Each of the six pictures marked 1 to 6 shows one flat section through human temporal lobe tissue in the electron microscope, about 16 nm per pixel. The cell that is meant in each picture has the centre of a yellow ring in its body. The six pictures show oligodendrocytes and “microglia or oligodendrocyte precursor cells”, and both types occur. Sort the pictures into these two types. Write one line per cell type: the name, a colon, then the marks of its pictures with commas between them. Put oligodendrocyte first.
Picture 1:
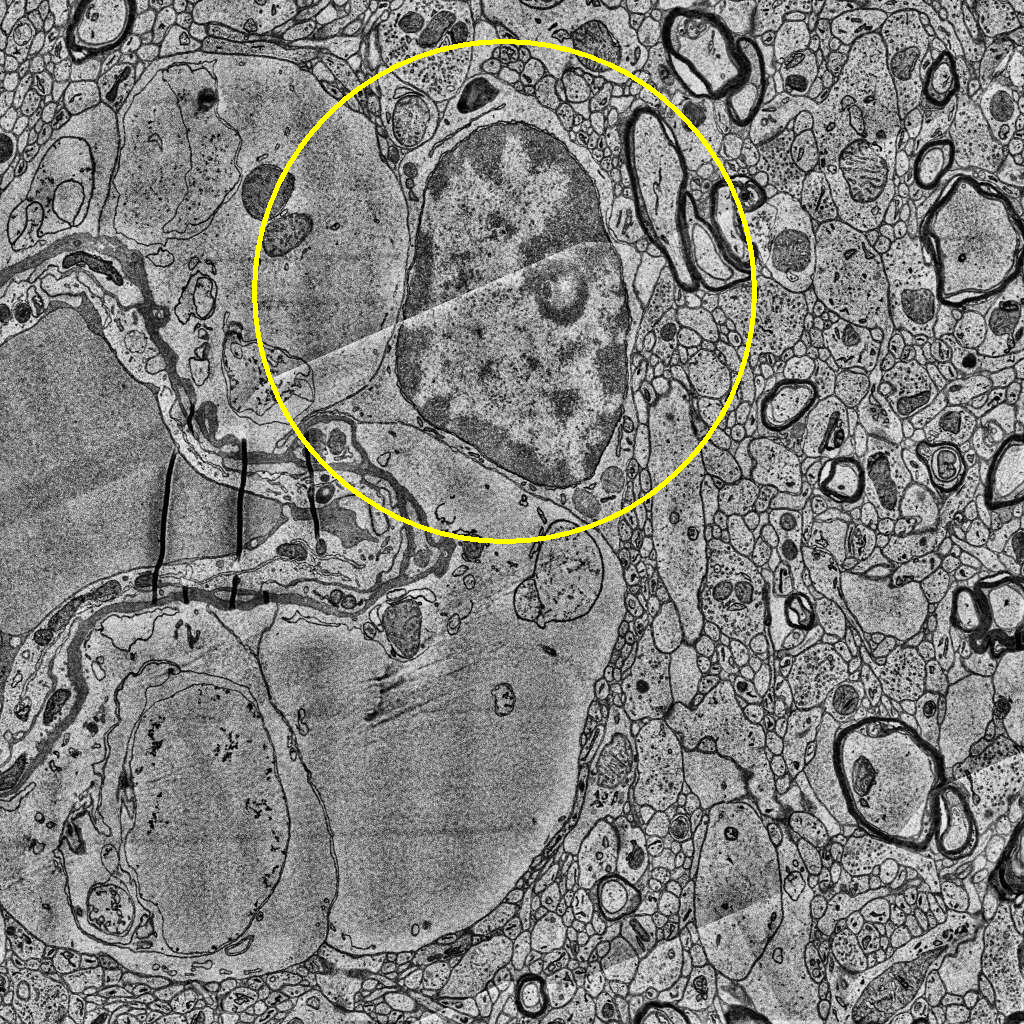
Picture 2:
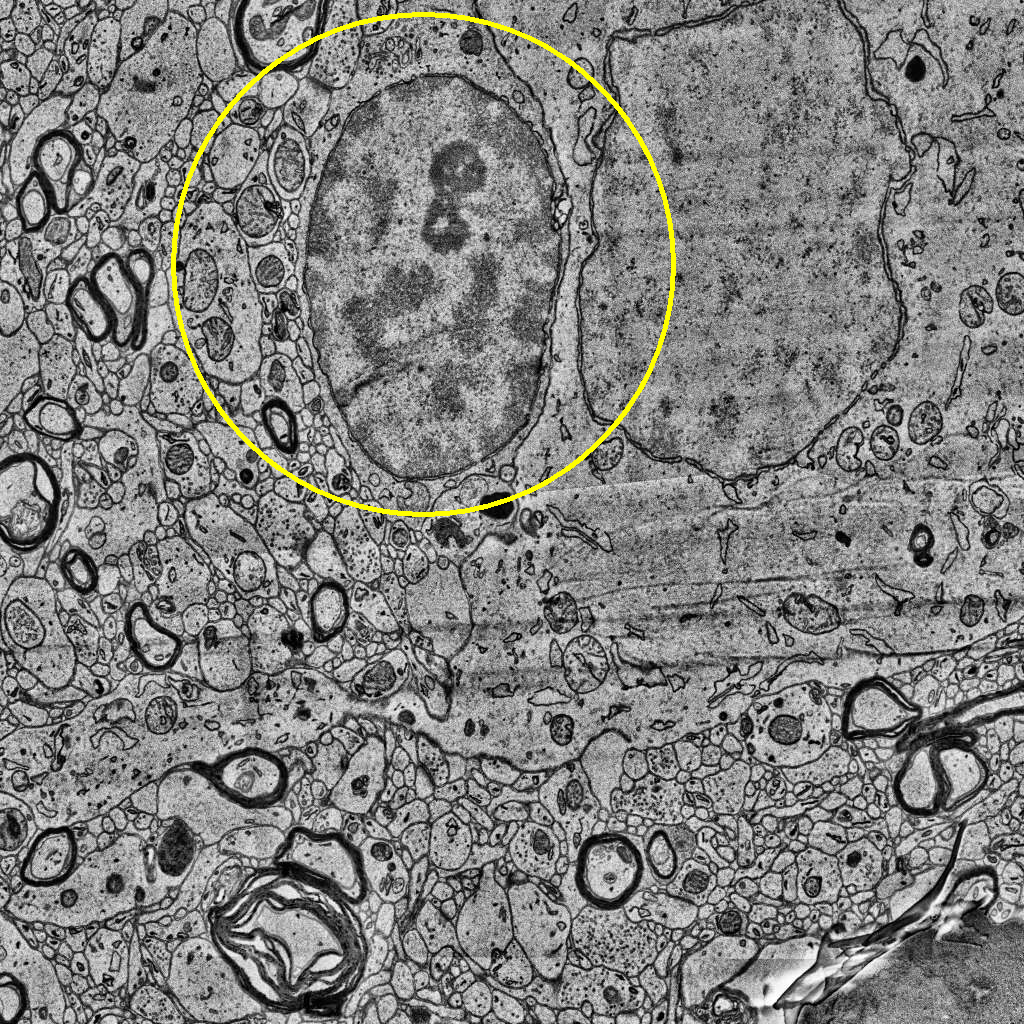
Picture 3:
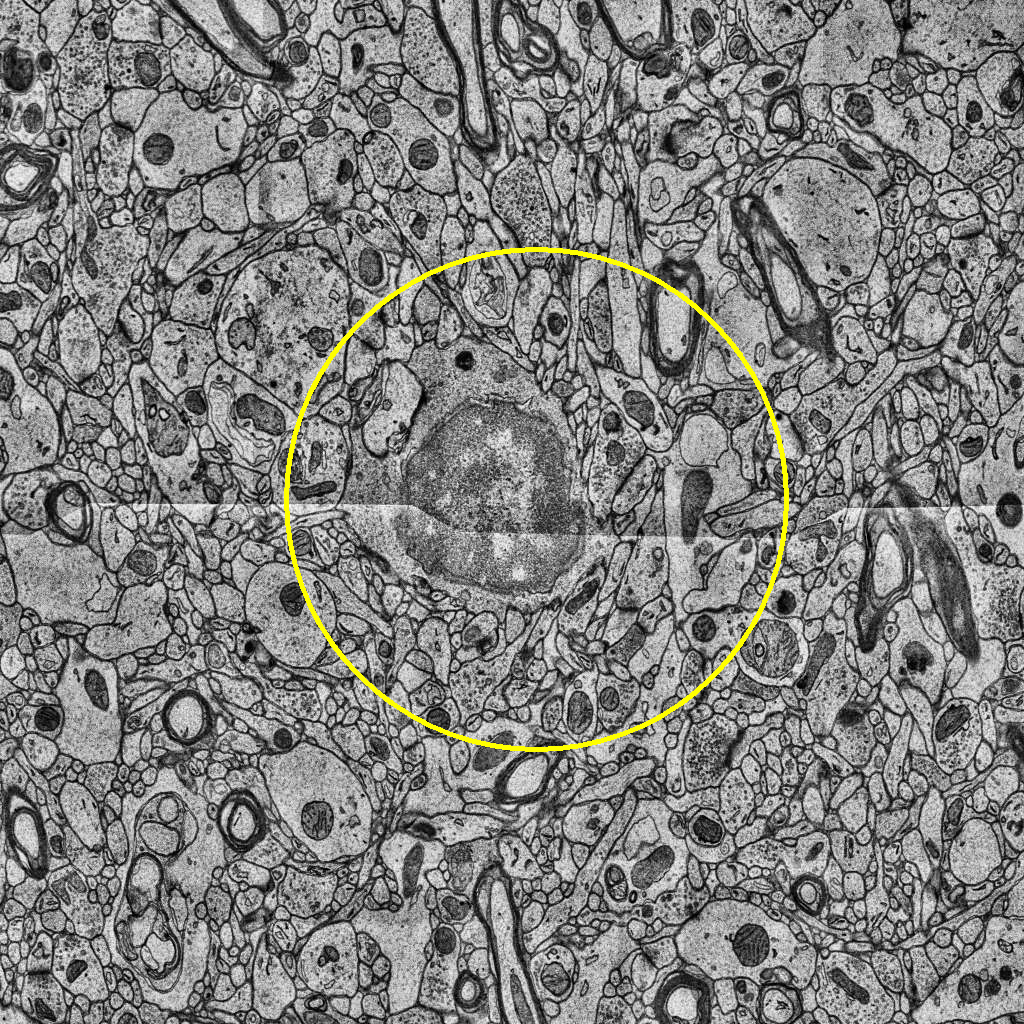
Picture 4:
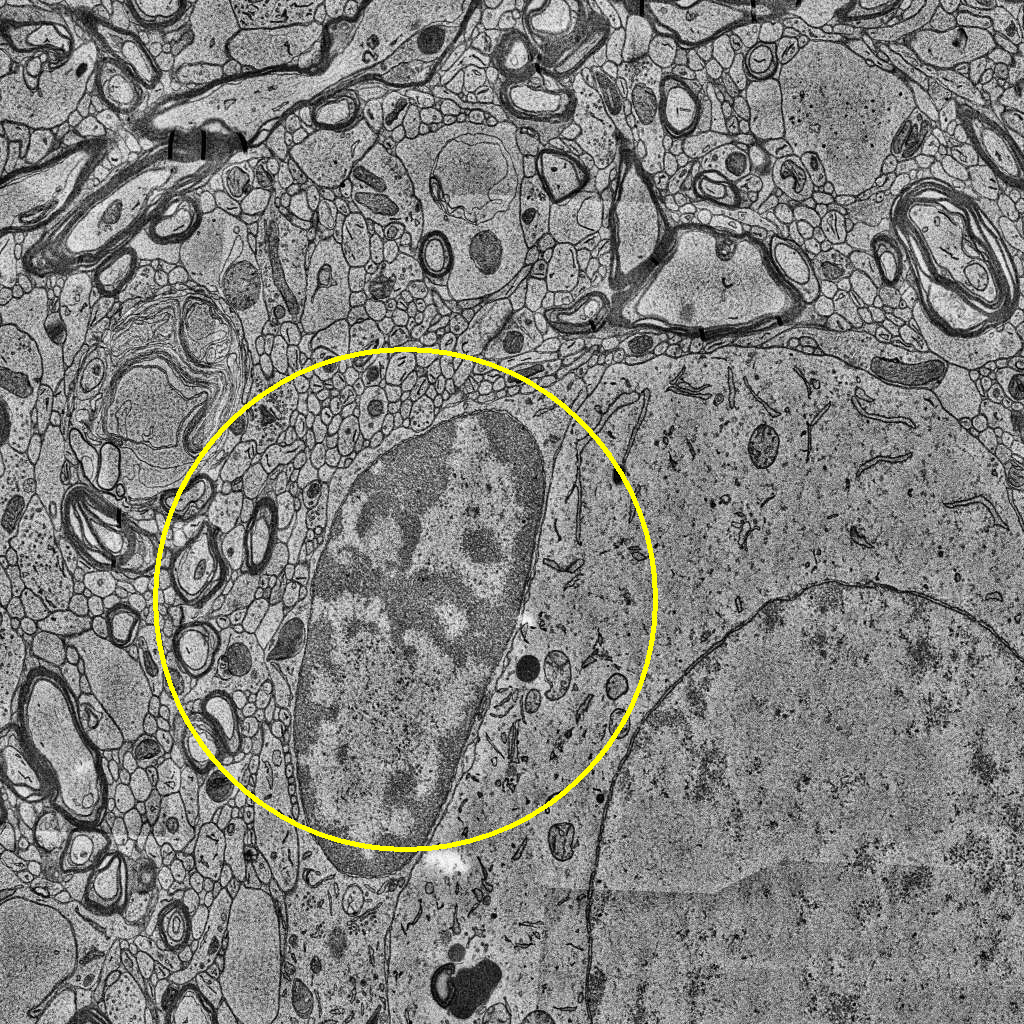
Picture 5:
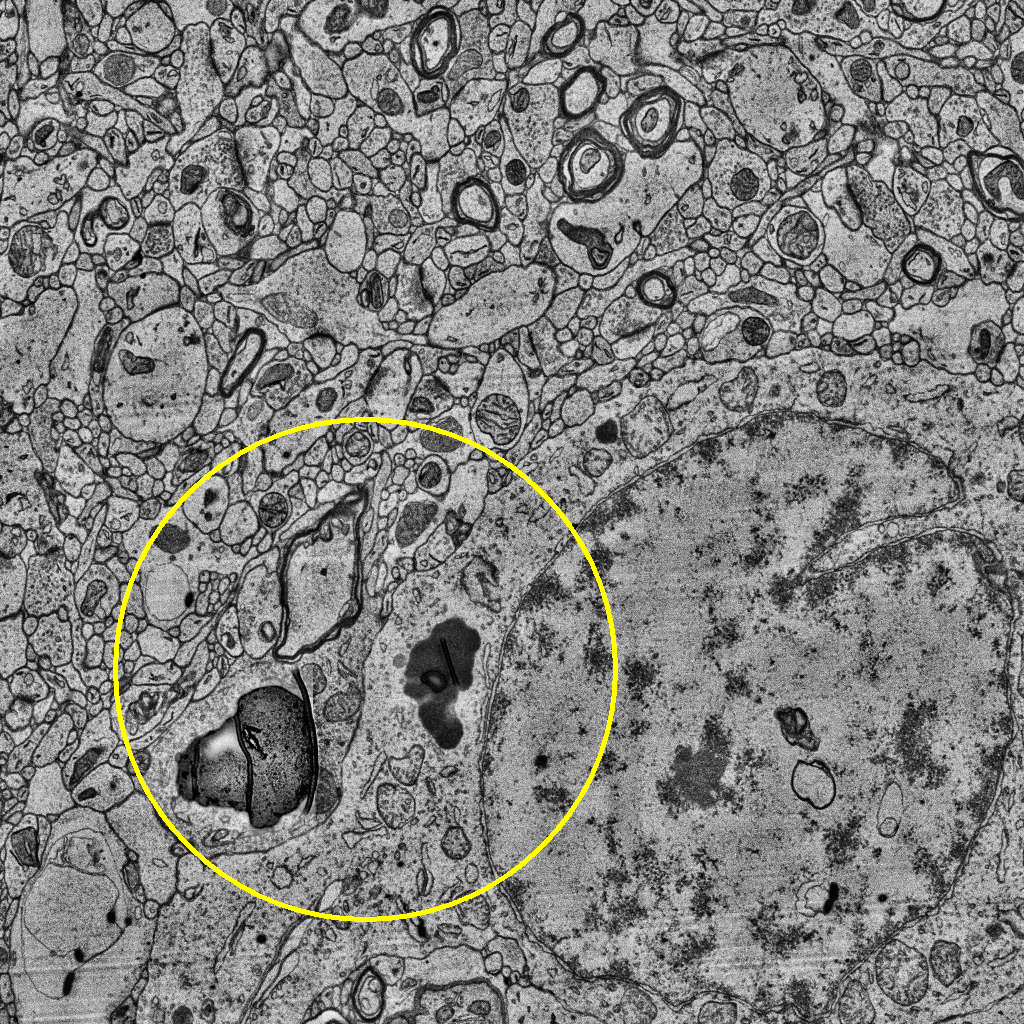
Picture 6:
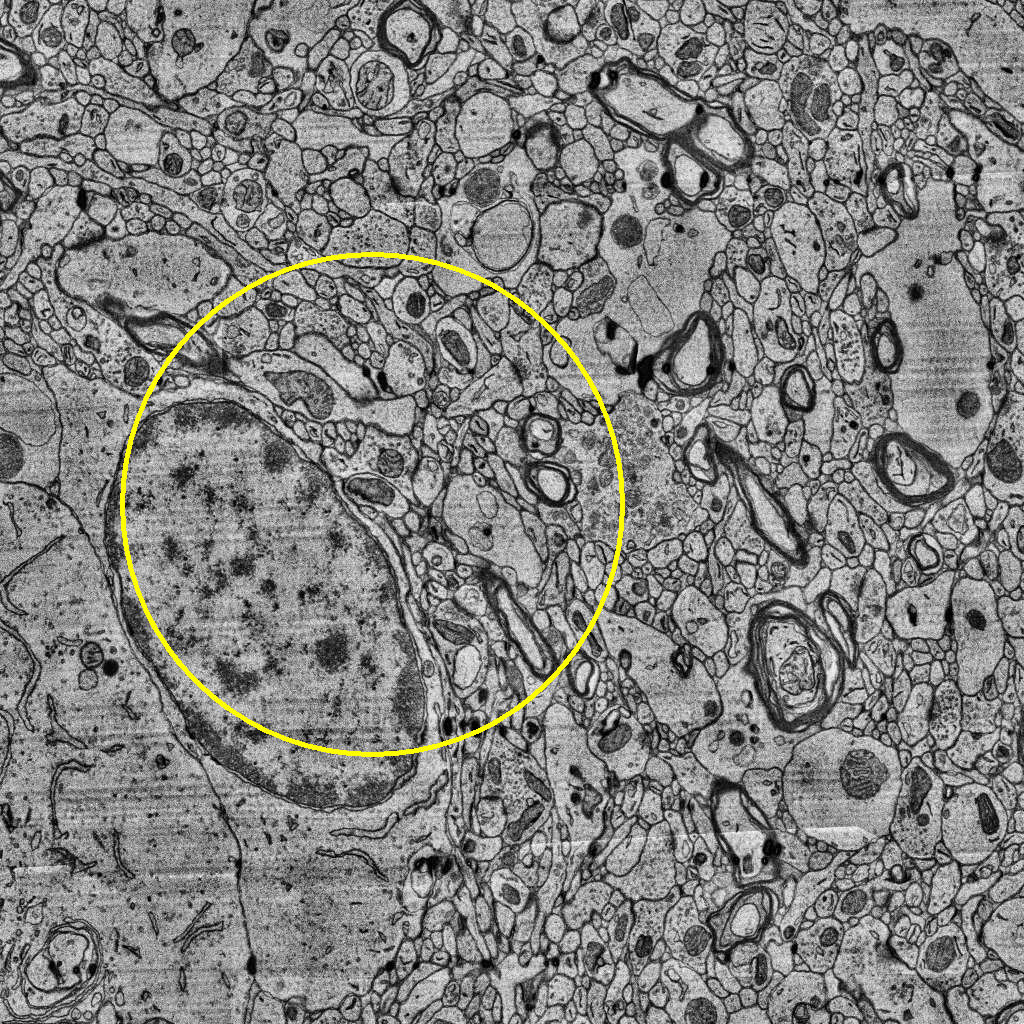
oligodendrocyte: 2, 3, 5
microglia or oligodendrocyte precursor cell: 1, 4, 6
